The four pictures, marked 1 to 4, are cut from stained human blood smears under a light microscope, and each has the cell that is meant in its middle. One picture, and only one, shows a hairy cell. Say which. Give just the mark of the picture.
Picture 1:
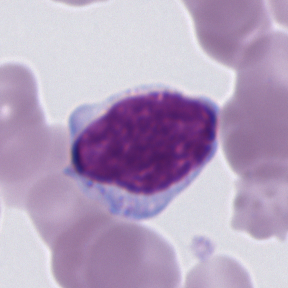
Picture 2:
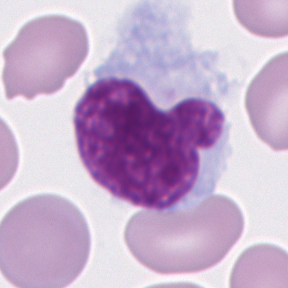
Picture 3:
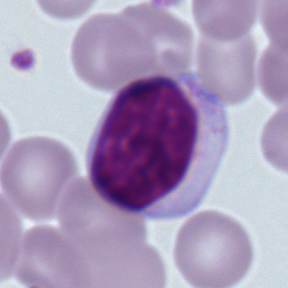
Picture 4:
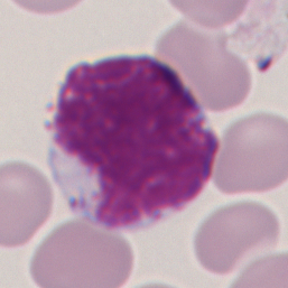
2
